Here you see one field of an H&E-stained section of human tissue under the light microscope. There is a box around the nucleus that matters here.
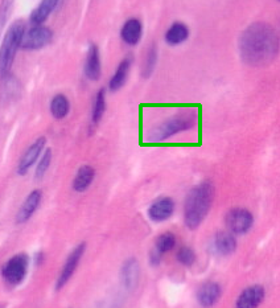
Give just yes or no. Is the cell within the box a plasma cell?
no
